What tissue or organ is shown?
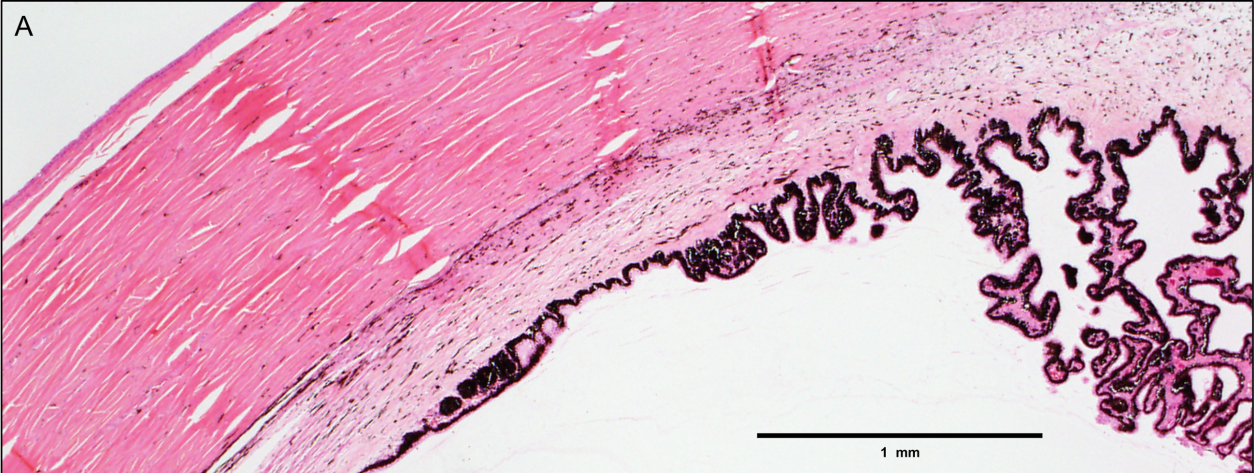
Ciliary body.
